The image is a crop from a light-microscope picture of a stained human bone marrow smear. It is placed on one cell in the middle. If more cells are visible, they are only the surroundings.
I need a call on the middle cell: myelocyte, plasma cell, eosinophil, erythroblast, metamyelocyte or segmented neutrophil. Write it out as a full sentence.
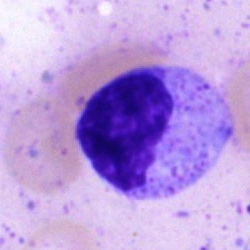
What the crop centres on is a myelocyte.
